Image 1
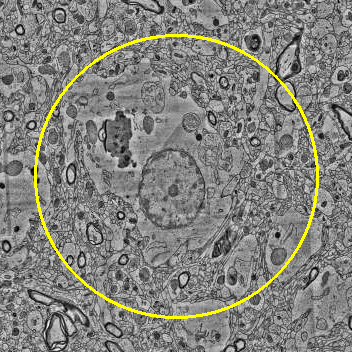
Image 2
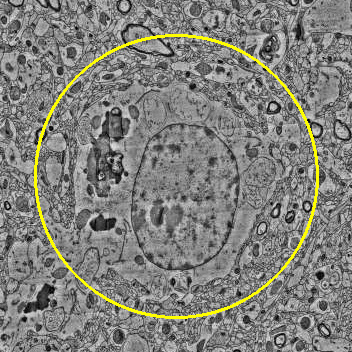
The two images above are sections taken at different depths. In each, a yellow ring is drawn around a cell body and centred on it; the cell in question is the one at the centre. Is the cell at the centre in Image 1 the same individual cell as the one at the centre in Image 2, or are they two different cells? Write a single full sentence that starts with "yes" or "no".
No, the two yellow rings each circle a different cell.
